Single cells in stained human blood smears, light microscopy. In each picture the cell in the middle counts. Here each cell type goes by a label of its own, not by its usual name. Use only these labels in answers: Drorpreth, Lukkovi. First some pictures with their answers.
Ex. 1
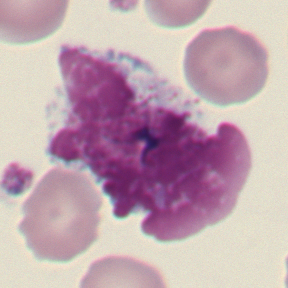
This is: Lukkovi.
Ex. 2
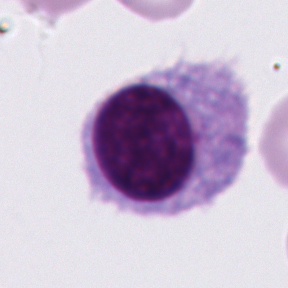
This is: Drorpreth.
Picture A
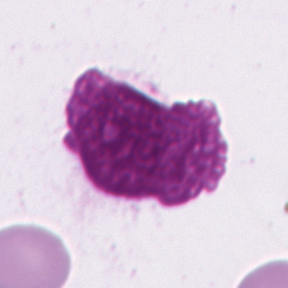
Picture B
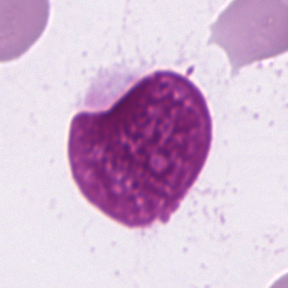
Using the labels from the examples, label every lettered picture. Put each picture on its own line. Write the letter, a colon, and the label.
A: Lukkovi.
B: Lukkovi.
